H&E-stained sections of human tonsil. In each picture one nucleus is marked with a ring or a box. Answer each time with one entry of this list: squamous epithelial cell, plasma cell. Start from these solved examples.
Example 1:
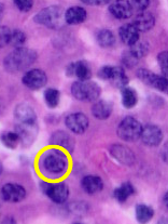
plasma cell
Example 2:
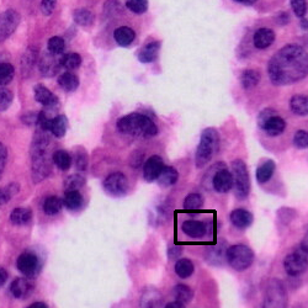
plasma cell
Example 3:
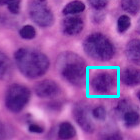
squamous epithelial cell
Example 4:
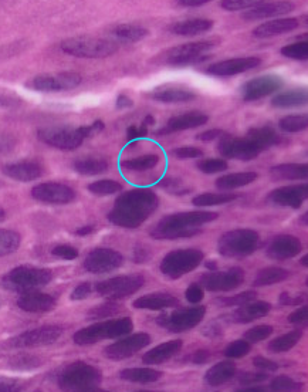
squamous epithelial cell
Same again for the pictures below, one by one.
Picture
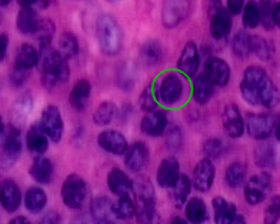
plasma cell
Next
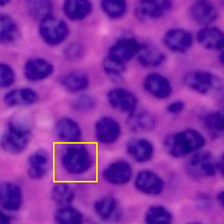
plasma cell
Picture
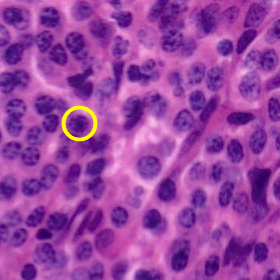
plasma cell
